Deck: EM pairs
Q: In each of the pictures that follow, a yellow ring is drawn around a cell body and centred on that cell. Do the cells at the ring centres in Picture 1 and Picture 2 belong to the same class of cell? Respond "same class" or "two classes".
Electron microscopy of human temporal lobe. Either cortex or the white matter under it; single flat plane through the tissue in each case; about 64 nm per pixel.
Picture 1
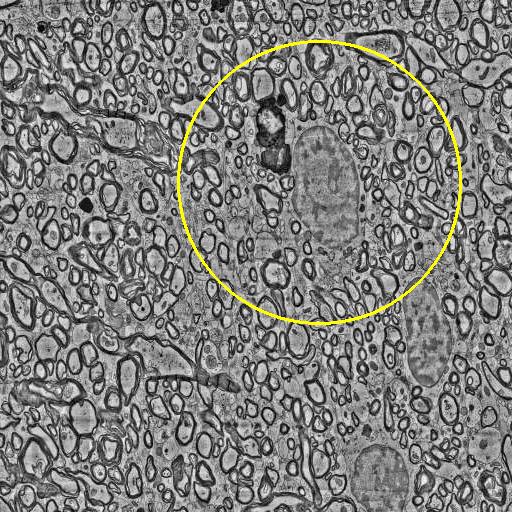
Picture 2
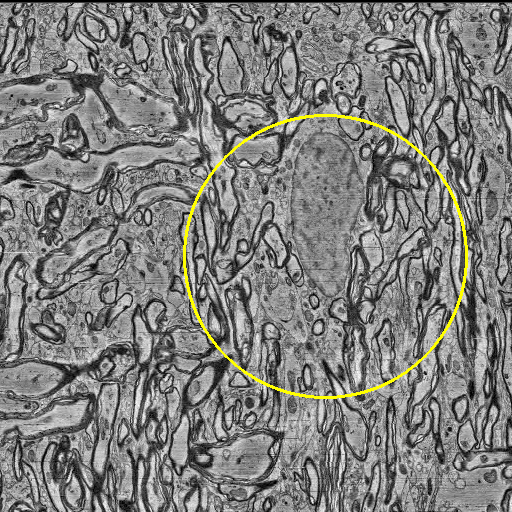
same class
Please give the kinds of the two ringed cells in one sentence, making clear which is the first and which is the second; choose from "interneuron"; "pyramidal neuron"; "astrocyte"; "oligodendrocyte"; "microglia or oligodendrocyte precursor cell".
The second cell is an oligodendrocyte, just as the first is.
